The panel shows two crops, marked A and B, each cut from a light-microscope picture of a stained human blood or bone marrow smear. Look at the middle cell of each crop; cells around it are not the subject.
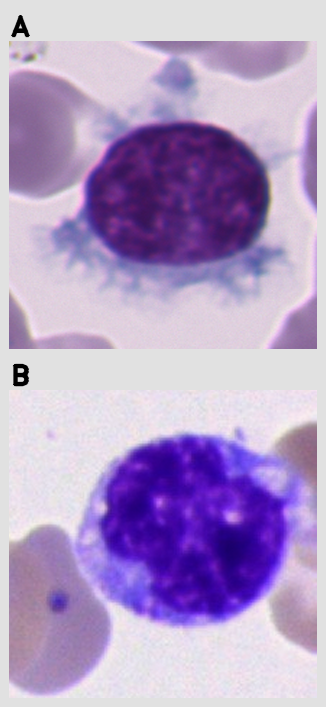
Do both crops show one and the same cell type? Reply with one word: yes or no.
no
